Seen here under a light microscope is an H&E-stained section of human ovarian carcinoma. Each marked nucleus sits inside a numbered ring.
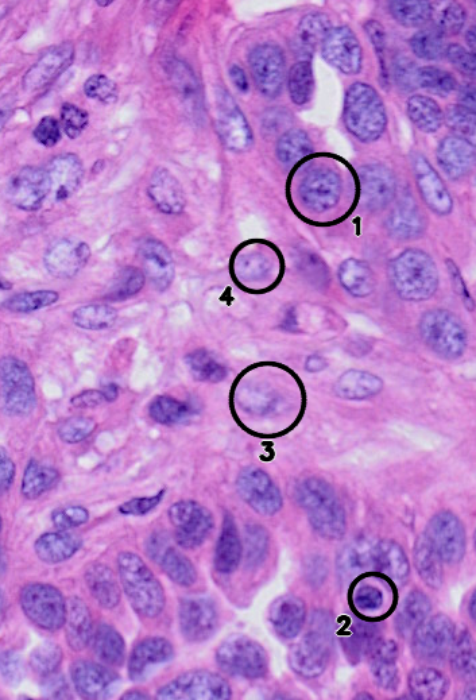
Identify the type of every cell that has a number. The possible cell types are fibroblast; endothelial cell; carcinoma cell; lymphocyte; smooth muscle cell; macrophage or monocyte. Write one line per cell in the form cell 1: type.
cell 1: carcinoma cell
cell 2: lymphocyte
cell 3: fibroblast
cell 4: fibroblast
